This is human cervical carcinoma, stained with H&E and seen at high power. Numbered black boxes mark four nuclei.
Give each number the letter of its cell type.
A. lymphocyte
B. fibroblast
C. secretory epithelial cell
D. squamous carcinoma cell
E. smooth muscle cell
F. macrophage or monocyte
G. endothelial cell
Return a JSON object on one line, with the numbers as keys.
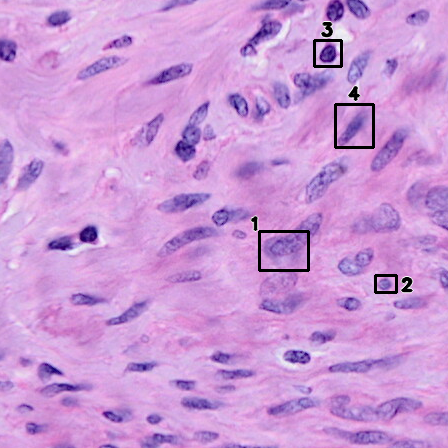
{"1": "E", "2": "E", "3": "A", "4": "E"}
